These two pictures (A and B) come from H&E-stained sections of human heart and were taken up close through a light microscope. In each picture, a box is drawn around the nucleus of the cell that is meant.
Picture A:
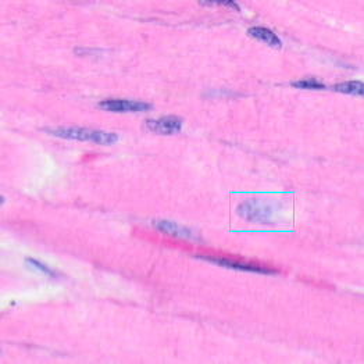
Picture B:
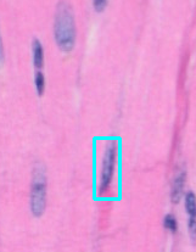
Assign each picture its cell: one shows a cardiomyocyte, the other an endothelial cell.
A: cardiomyocyte
B: endothelial cell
